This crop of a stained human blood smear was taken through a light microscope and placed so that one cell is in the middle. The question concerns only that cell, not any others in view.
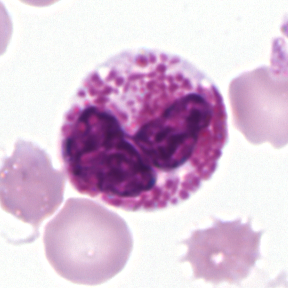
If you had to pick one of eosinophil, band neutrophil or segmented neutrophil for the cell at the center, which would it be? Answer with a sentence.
The cell in the exact centre of the crop is an eosinophil.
